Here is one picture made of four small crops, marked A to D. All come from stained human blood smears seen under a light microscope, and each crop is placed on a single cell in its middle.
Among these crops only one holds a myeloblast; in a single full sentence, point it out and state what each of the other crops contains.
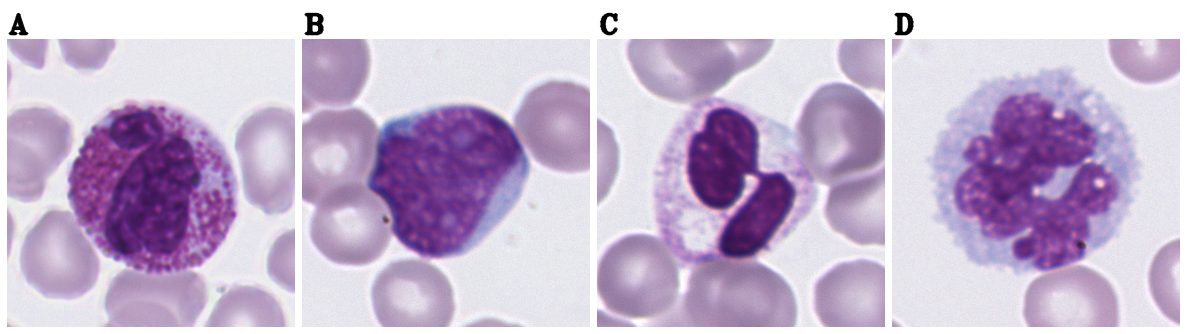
Crop B proves to be a myeloblast, while crop A is an eosinophil, crop C is a segmented neutrophil and crop D is a monocyte.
